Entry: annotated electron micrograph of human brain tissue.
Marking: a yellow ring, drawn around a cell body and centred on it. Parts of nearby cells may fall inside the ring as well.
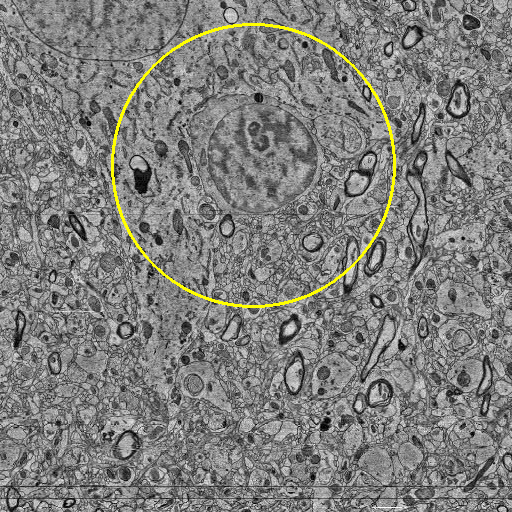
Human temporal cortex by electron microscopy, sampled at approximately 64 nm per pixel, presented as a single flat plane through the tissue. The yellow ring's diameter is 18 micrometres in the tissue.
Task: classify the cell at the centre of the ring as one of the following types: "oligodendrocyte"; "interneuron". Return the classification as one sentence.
The marked cell is classified as an oligodendrocyte.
